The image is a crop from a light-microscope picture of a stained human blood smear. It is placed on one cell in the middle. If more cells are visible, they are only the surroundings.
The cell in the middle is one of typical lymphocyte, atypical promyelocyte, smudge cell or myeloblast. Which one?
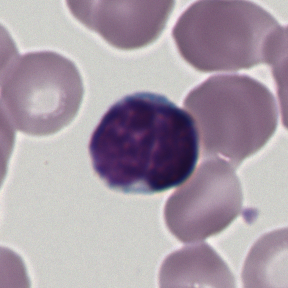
typical lymphocyte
